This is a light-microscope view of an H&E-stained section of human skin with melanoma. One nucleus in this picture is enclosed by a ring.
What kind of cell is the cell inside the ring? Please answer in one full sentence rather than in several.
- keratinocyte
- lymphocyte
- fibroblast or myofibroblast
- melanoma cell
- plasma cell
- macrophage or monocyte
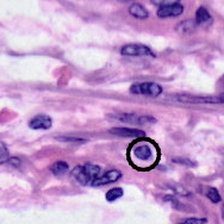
Considered by cell type, the cell inside the ring is a lymphocyte.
